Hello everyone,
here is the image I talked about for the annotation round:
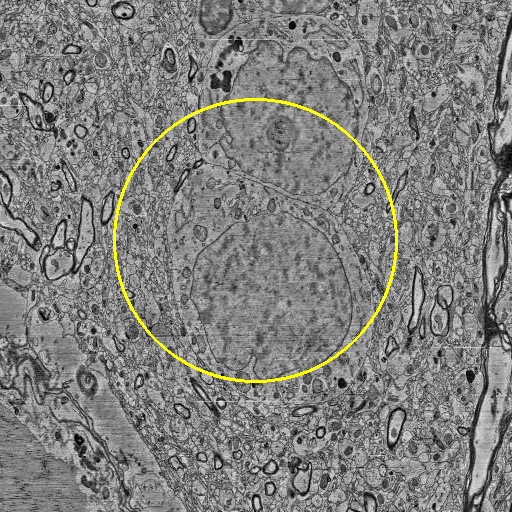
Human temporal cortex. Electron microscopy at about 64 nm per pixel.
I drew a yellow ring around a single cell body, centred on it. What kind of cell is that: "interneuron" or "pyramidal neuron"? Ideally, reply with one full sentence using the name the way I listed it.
The cell your yellow ring is centred on is a pyramidal neuron, going by your list.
